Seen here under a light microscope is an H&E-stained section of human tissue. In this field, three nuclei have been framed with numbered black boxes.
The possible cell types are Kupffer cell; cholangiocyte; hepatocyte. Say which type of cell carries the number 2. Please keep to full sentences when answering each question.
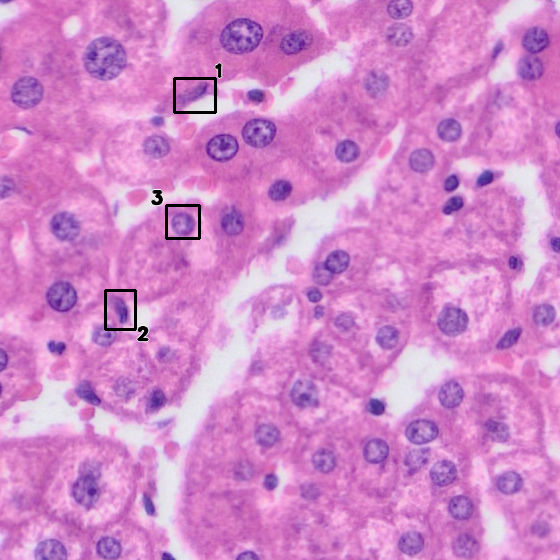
The mark numbered 2 indicates the nucleus of a Kupffer cell.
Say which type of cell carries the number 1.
Cell 1 in the field of view is a Kupffer cell.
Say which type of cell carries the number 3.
Numbered cell 3 is a hepatocyte in this tissue section.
